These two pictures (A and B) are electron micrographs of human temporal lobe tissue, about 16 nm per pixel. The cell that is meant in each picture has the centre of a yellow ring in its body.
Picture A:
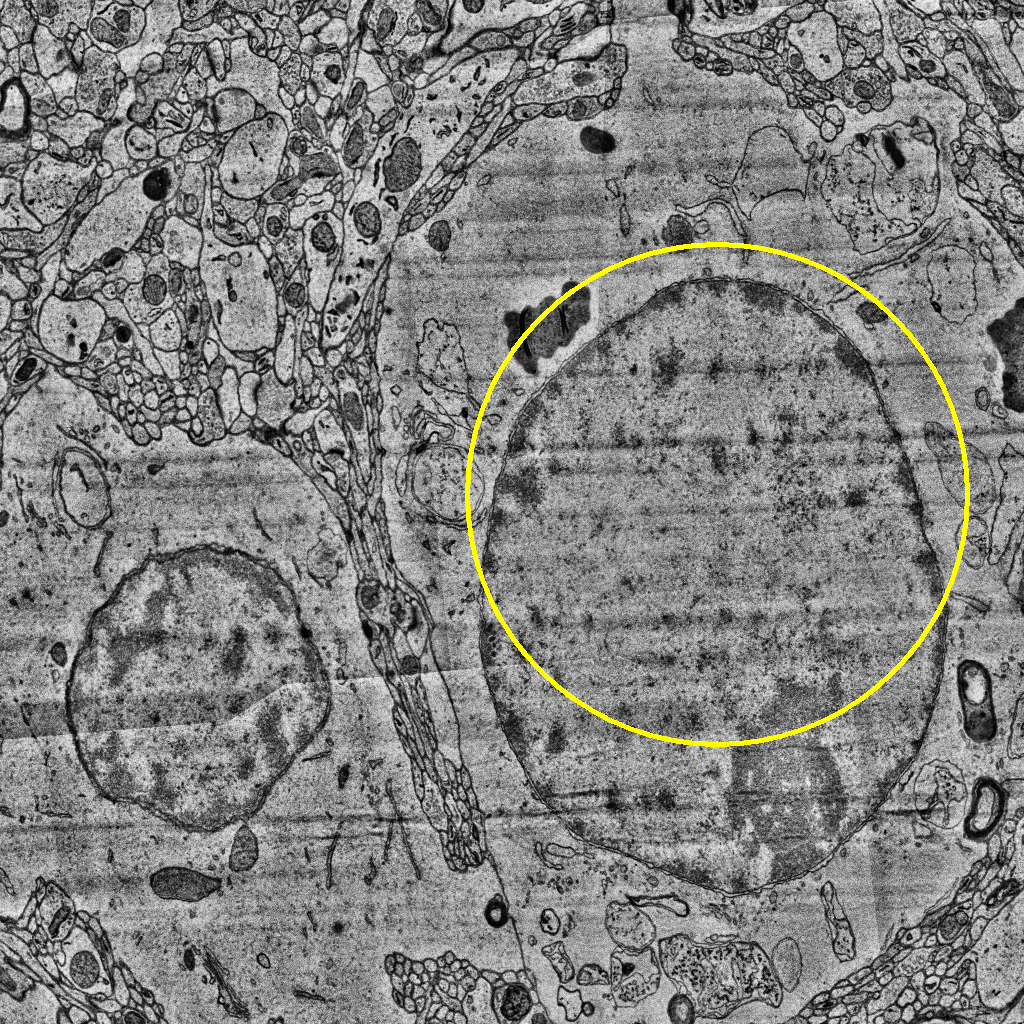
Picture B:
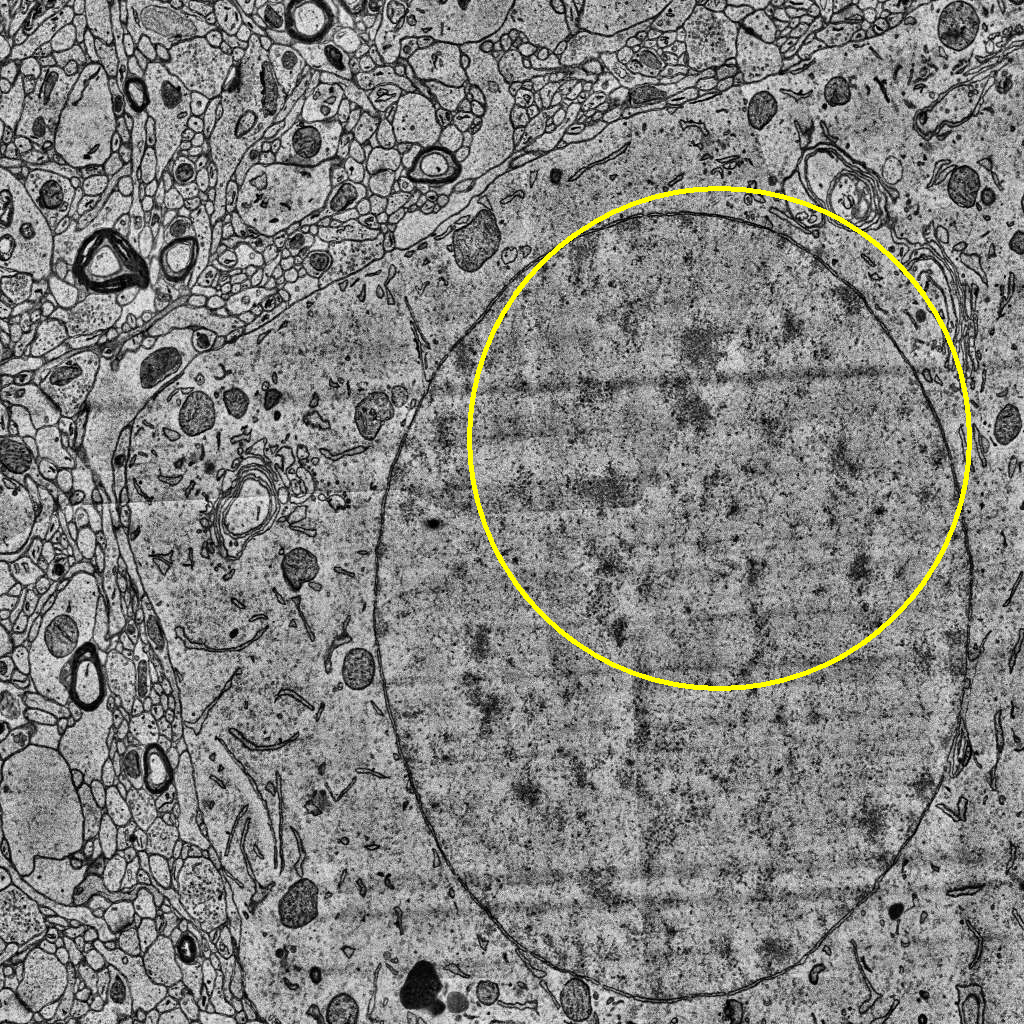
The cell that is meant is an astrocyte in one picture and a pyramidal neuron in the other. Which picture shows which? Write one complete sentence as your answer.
The cell in picture A is an astrocyte, and the one in picture B is a pyramidal neuron.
